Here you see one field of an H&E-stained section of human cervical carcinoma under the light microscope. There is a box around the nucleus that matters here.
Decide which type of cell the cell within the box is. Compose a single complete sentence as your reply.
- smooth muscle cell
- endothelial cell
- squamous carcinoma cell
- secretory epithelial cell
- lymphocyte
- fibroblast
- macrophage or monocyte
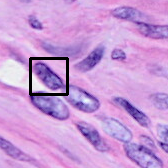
Microscopically, the cell within the box is categorized as an endothelial cell.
